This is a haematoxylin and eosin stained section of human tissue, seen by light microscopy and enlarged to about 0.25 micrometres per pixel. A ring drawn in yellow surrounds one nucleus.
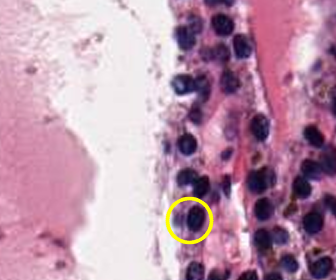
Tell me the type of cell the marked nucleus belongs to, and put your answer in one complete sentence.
The marked nucleus lies within a thyroid follicular cell.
